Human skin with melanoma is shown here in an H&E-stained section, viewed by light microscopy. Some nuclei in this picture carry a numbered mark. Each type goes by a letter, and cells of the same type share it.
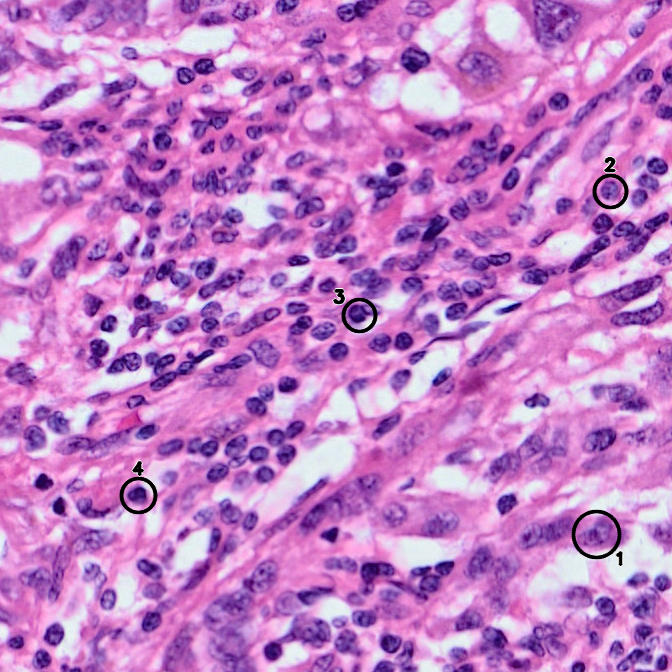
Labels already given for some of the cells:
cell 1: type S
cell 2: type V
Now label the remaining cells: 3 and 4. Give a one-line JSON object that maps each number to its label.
{"3": "type V", "4": "type V"}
